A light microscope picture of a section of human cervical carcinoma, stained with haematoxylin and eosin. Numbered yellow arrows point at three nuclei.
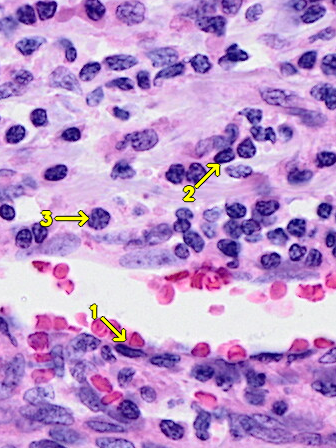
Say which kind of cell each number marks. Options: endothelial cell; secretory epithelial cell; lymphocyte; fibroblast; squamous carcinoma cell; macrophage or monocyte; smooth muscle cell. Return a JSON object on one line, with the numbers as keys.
{"1": "endothelial cell", "2": "lymphocyte", "3": "lymphocyte"}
